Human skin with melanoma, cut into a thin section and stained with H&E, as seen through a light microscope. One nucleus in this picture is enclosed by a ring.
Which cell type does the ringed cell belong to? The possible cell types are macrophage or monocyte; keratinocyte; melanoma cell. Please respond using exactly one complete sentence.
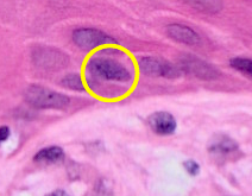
In the tissue at hand, the ringed cell is a keratinocyte.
